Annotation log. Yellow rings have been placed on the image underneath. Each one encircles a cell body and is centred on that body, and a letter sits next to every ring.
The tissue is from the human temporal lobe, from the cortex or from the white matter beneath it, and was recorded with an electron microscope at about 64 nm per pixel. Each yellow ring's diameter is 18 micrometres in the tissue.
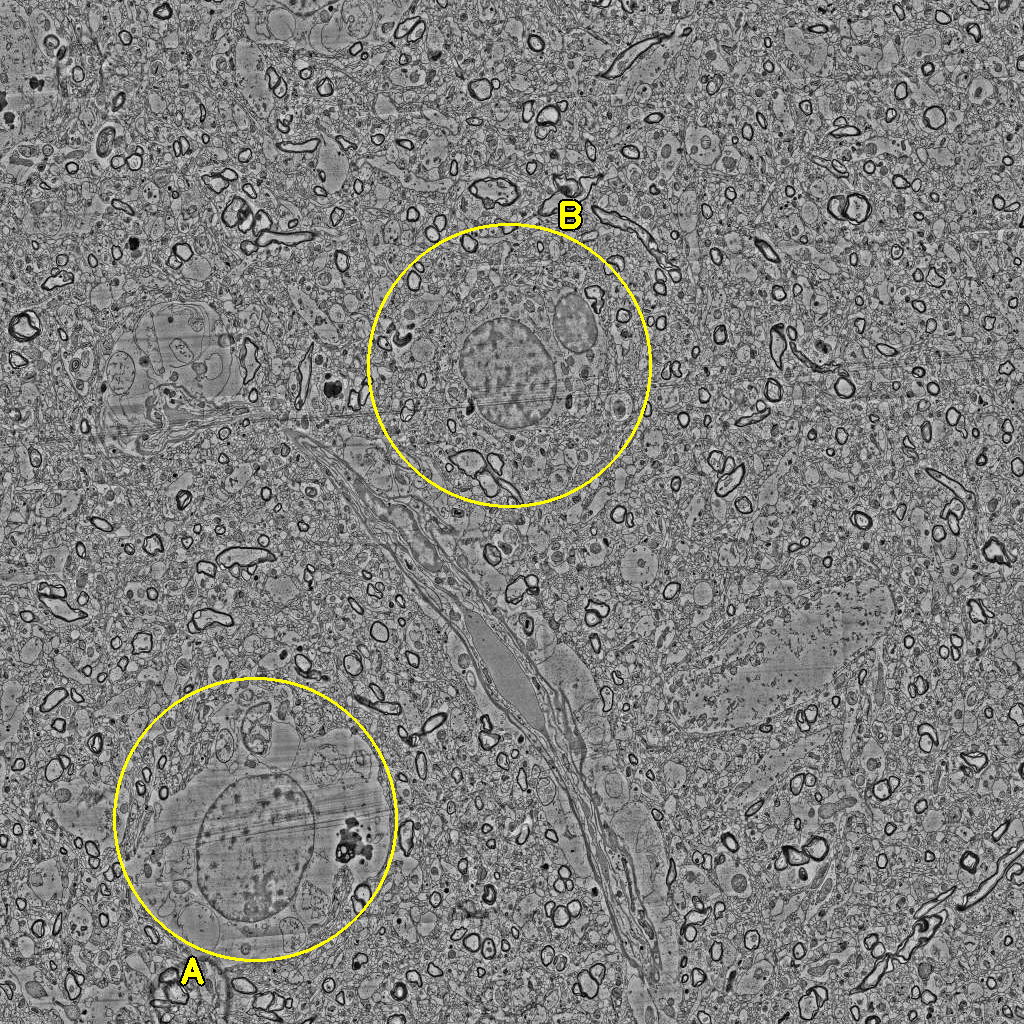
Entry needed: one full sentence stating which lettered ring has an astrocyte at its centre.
The cell asked for sits at the centre of Ring A in the picture.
